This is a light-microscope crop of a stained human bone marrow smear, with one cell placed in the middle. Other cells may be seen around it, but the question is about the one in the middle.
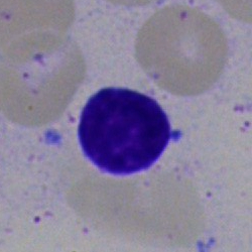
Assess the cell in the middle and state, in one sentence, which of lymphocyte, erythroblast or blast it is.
The middle cell in this particular crop is a lymphocyte.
